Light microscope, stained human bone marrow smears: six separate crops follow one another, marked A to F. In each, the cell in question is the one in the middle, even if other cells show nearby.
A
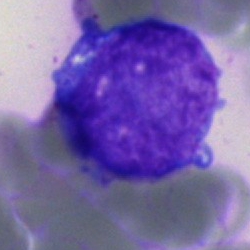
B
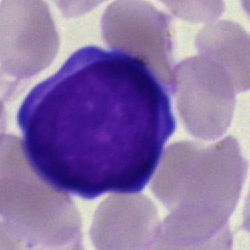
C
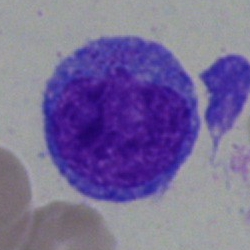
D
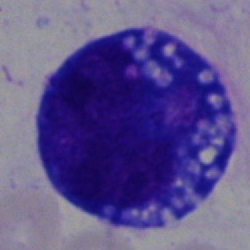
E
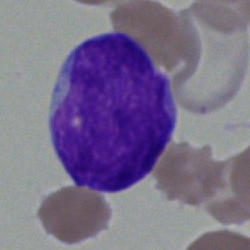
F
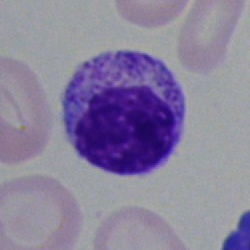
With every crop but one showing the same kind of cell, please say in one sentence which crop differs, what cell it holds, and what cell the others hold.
What sets crop F apart is that it is a myelocyte; the others are all blasts.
